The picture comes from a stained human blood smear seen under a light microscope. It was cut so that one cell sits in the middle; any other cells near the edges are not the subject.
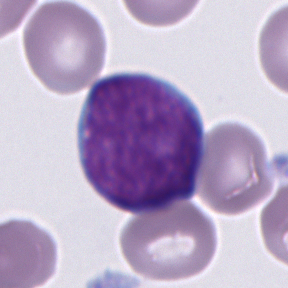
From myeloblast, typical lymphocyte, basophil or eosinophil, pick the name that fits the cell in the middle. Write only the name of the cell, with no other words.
myeloblast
